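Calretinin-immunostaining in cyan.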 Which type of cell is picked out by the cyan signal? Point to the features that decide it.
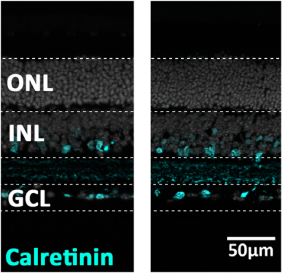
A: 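Amacrine cells. A cyan band of processes runs through the plexiform layer between these two rows of cells.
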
